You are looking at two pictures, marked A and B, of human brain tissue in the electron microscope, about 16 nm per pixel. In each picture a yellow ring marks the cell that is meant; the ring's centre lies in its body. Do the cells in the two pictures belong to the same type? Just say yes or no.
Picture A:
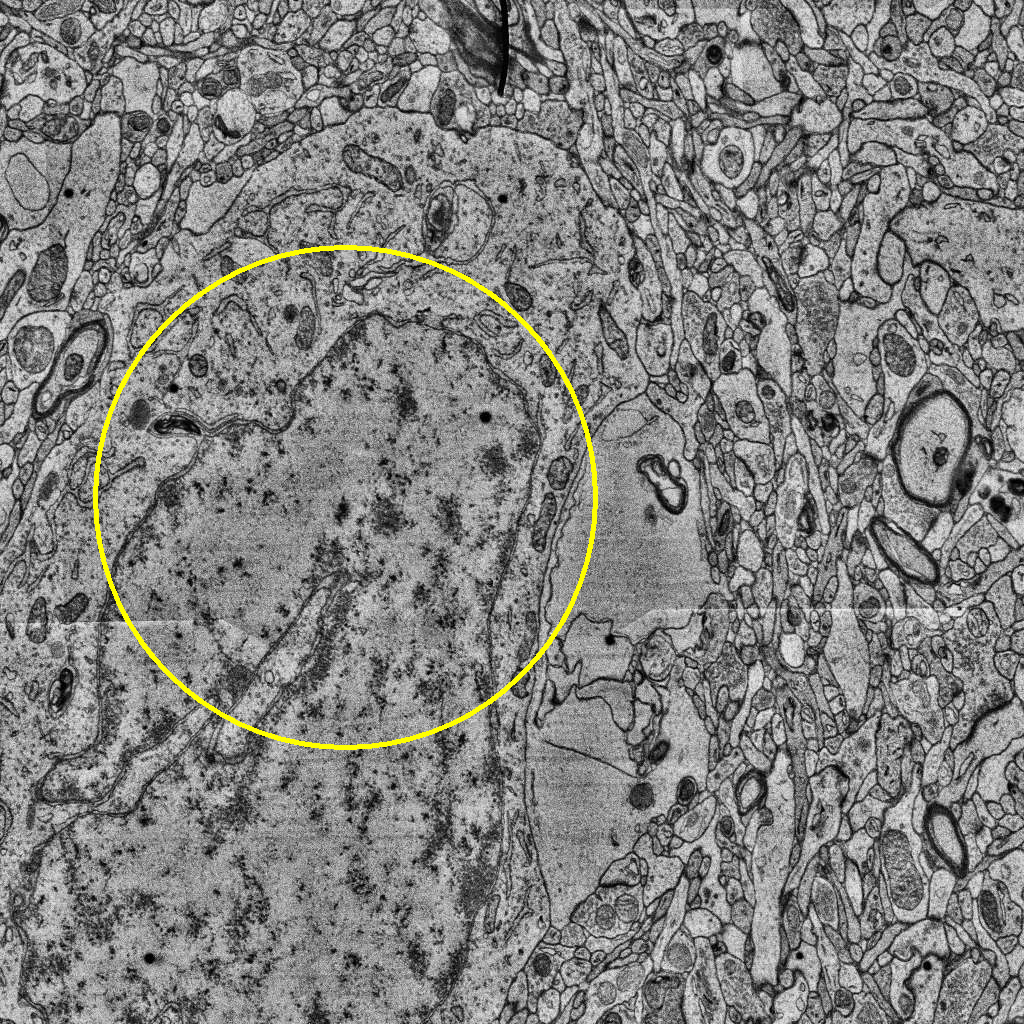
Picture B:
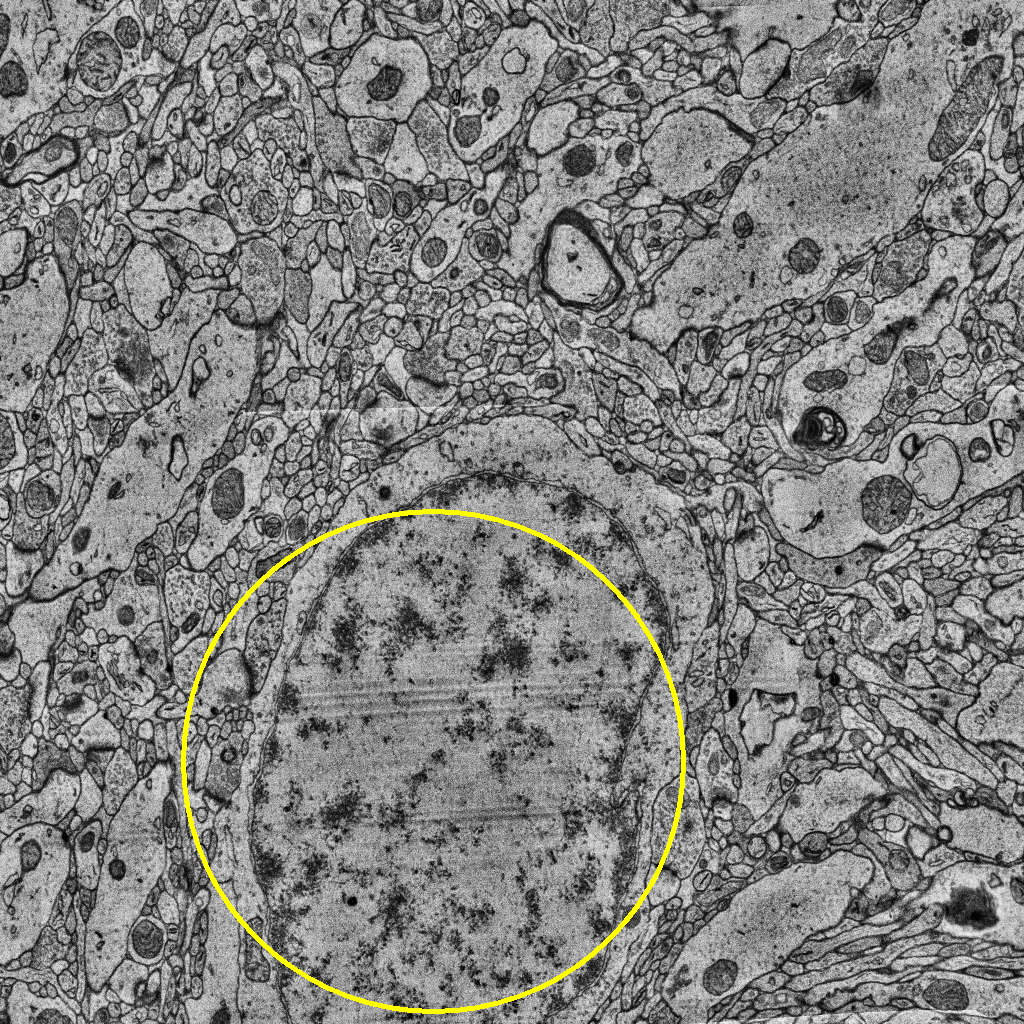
yes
